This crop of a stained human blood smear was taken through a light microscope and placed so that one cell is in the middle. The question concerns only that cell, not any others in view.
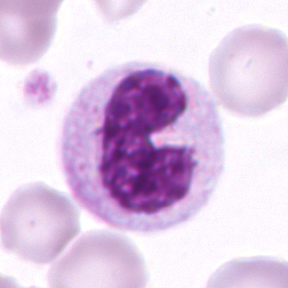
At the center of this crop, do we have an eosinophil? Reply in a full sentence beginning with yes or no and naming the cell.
No, the centred cell is a band neutrophil instead of an eosinophil.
